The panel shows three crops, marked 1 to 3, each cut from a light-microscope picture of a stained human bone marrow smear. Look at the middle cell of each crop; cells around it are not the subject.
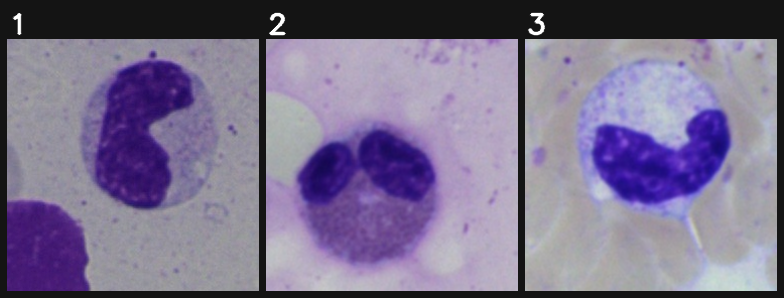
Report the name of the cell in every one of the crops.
1: band neutrophil
2: eosinophil
3: band neutrophil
